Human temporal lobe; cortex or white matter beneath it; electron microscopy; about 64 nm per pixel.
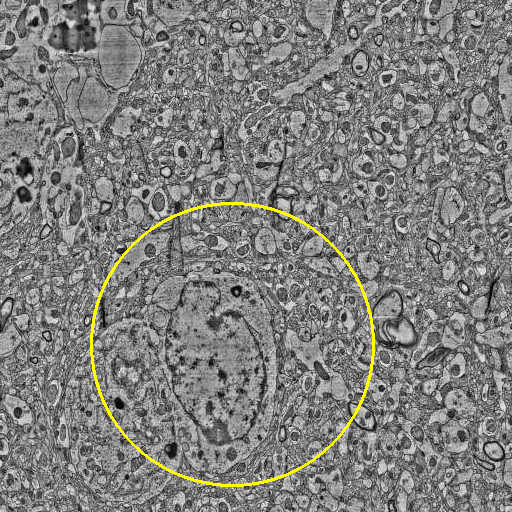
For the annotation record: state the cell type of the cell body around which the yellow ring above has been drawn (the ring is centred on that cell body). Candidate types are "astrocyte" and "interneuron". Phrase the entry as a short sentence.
The ringed cell is an interneuron.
